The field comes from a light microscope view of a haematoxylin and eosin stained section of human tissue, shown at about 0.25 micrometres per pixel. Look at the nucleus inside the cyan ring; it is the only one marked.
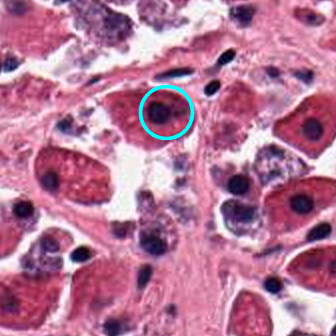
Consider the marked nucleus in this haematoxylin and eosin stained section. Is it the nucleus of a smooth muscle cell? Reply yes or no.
no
